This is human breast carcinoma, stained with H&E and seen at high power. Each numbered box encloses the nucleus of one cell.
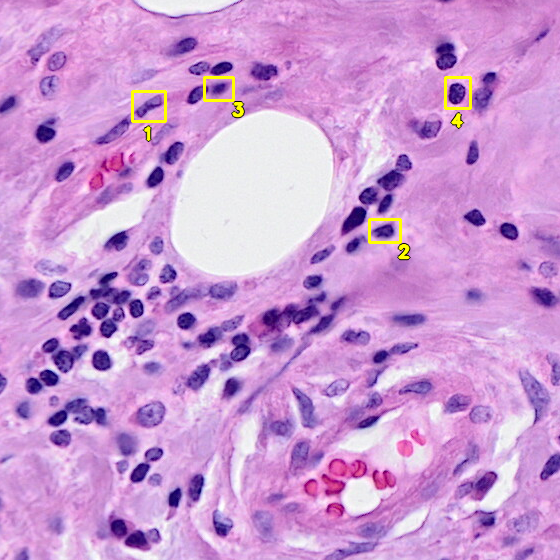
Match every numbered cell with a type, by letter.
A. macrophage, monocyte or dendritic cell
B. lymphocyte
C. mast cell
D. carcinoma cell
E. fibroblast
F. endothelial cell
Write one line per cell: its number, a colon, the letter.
1: E
2: B
3: B
4: B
